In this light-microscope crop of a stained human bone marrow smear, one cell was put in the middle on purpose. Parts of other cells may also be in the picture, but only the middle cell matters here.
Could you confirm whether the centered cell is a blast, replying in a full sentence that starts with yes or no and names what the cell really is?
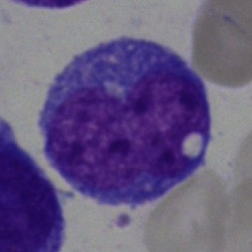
Yes, the cell found in the middle is a blast.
